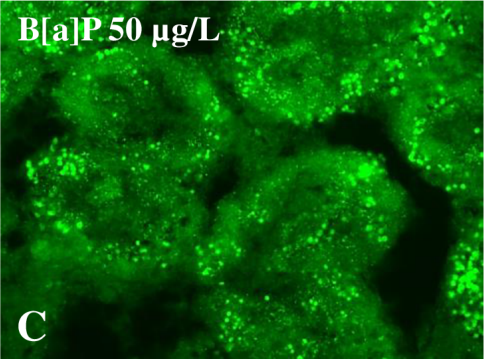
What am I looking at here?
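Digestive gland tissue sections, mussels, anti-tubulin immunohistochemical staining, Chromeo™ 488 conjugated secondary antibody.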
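Rounded masses of epithelial tissue, glowing in a diffuse green, are separated by dark, irregular spaces where there is no tissue. Scattered through the tissue, especially toward the edges of these masses, are many small, bright green round dots, giving the cytoplasm a speckled look. The dots vary in size and tend to cluster in groups rather than being evenly spread. Individual cell borders and nuclei cannot be made out clearly at this magnification; the impression is of tissue architecture with a punctate, granular labelling within it.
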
